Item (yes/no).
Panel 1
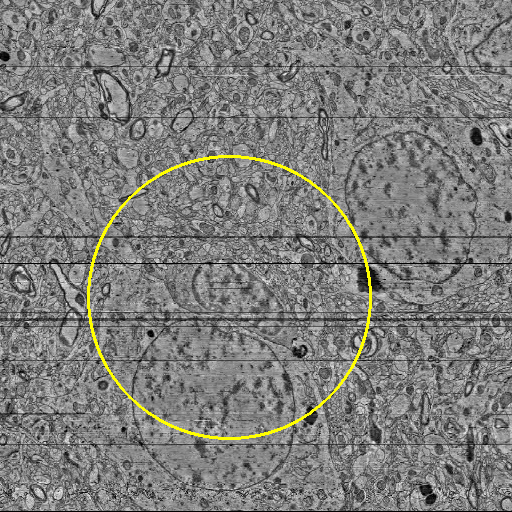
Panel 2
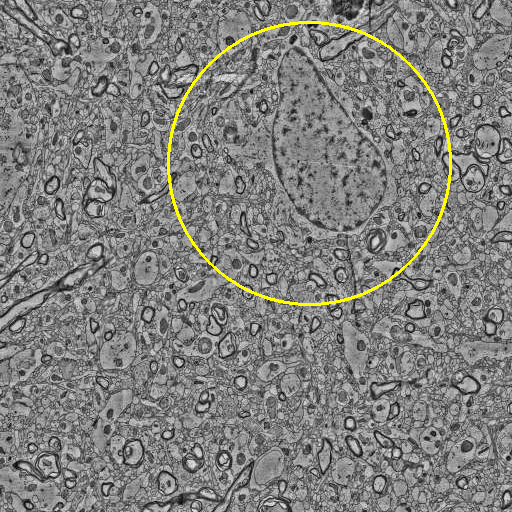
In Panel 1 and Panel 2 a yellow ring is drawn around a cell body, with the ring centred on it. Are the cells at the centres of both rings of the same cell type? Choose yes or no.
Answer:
no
